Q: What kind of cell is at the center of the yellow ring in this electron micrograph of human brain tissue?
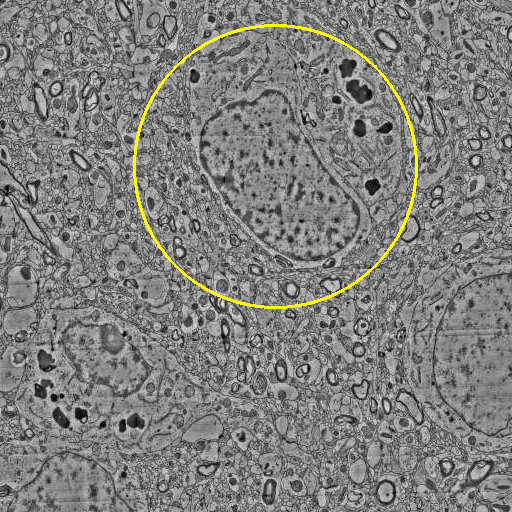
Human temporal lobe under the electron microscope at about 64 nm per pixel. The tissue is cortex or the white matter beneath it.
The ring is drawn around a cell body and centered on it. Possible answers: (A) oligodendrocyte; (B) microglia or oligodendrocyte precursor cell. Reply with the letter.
B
